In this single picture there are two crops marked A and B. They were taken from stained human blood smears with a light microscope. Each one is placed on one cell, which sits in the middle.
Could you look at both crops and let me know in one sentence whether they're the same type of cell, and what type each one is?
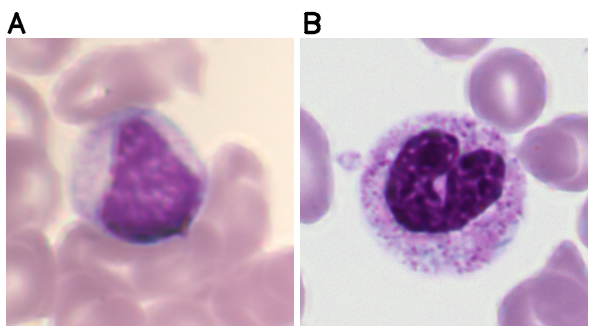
No, a metamyelocyte is centred in crop A, and a band neutrophil is centred in crop B.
